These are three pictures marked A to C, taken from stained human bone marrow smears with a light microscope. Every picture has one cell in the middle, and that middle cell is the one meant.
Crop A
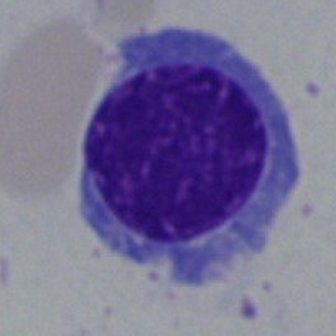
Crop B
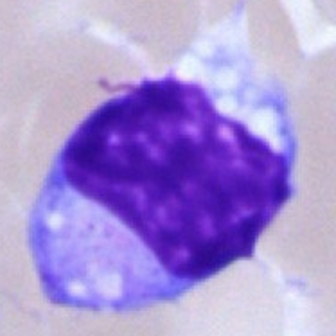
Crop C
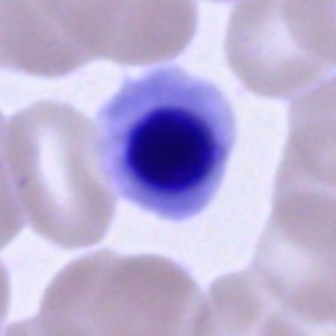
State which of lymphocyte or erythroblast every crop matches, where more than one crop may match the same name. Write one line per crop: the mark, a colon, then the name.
A: erythroblast
B: lymphocyte
C: erythroblast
